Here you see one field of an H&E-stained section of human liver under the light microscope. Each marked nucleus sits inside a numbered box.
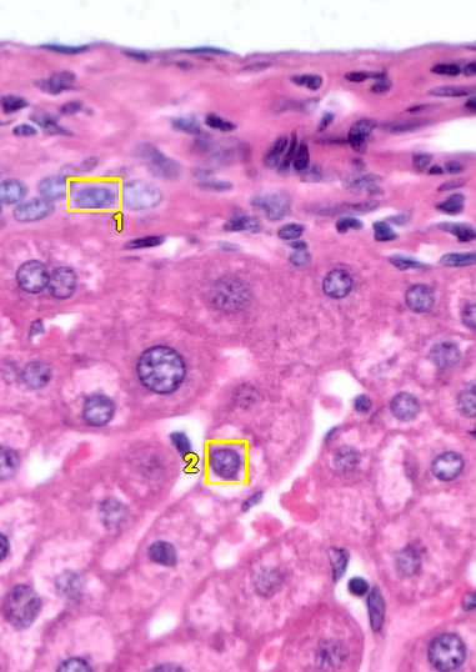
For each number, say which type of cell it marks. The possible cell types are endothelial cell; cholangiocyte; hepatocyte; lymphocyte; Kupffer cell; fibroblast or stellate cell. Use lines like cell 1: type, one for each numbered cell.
cell 1: cholangiocyte
cell 2: hepatocyte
